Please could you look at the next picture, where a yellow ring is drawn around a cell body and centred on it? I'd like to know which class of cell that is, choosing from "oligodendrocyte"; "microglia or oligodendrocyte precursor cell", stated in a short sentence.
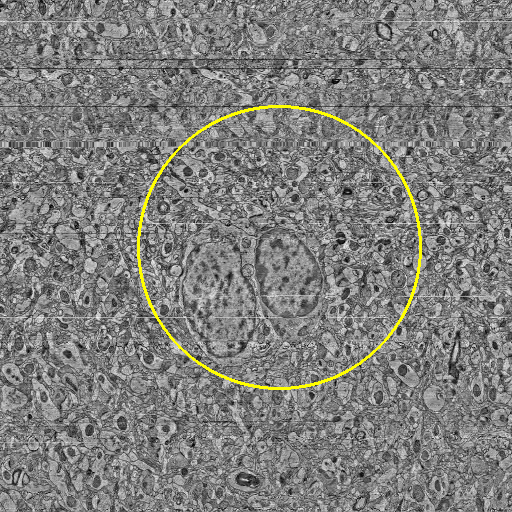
The ring's centre lies on an oligodendrocyte.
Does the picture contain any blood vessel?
No, none shows.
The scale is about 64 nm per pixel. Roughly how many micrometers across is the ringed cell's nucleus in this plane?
The nucleus measures about 6 by 4 micrometres in this plane.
